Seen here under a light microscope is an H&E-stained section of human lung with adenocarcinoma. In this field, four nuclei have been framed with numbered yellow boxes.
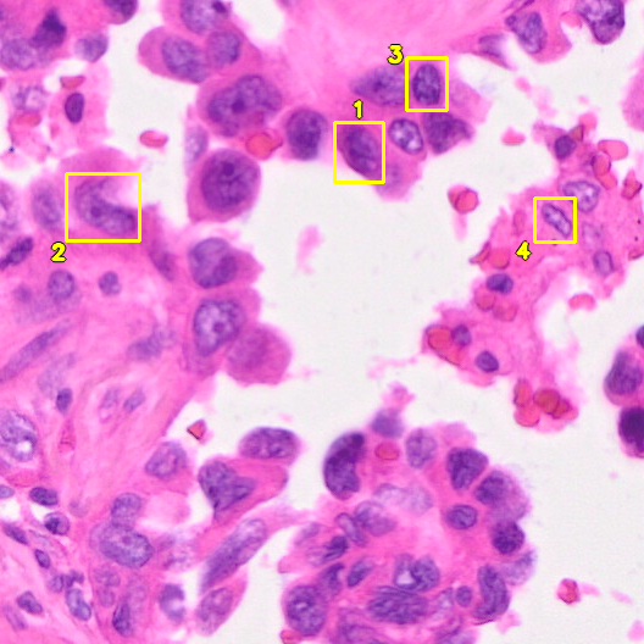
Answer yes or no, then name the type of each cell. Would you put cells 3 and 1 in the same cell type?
Yes, cells 3 and 1 both count as carcinoma cells.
